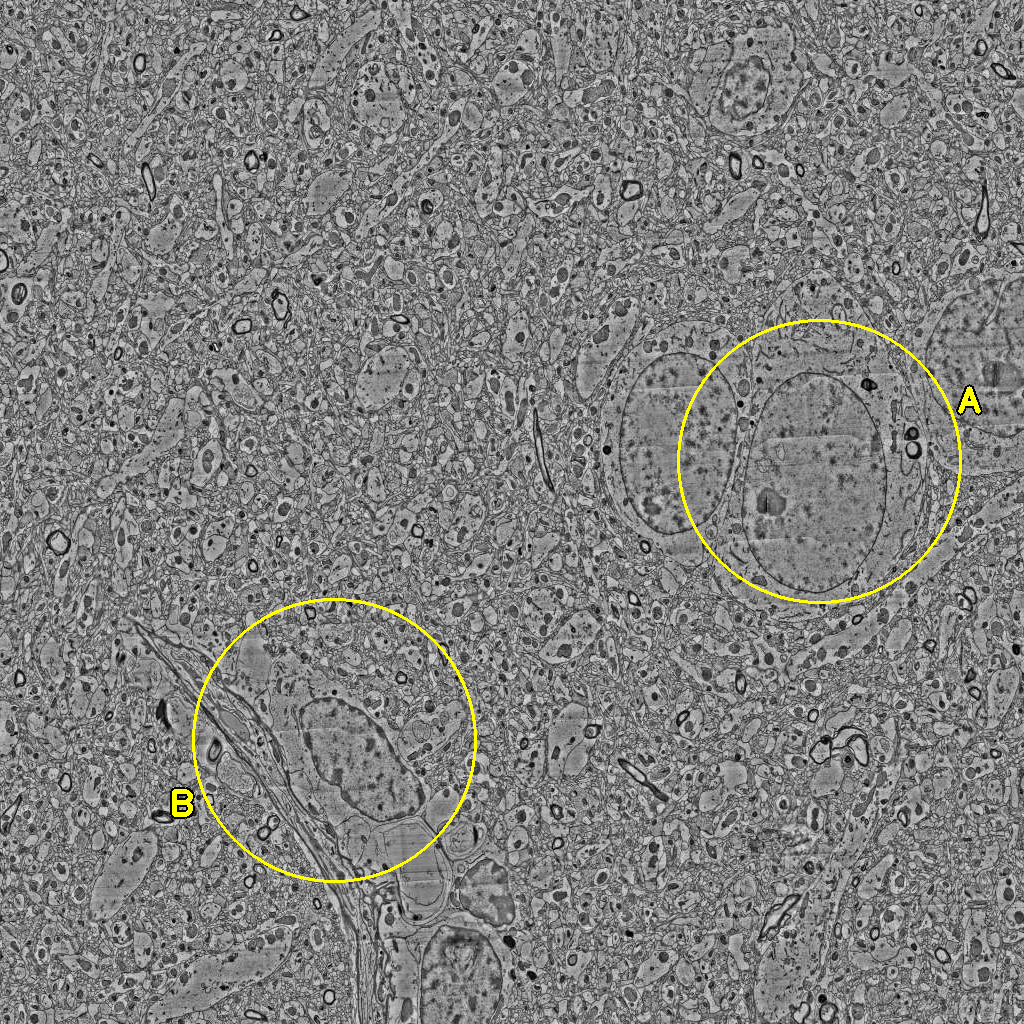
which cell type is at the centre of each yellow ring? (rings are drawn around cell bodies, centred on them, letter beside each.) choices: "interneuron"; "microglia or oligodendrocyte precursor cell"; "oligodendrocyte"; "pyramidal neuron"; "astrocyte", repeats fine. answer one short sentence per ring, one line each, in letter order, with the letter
Ring A is a pyramidal neuron.
Ring B is a microglial cell or oligodendrocyte precursor cell.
